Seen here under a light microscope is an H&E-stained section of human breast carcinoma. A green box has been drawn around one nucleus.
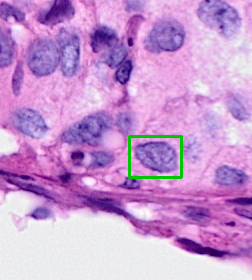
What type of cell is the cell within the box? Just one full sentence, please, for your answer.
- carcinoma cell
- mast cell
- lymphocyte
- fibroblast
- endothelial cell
The expected answer is simply that the cell within the box is a carcinoma cell.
